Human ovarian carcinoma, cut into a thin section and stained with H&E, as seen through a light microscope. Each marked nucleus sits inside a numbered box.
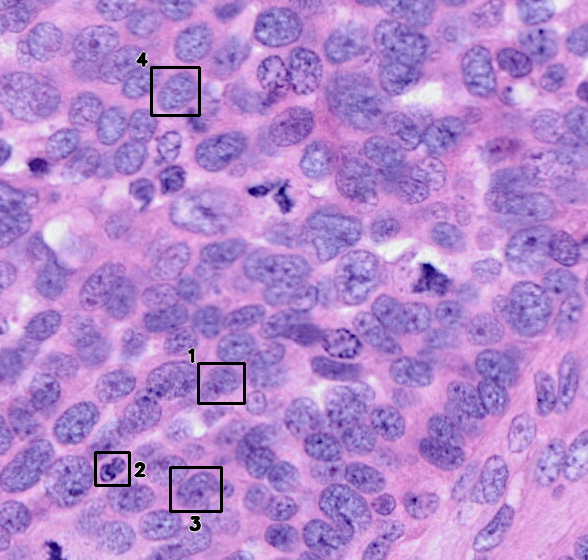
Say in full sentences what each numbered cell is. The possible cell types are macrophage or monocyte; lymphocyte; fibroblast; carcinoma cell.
Cell 1 is a carcinoma cell, cell 2 is a lymphocyte, cell 3 is a carcinoma cell and cell 4 is a carcinoma cell.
